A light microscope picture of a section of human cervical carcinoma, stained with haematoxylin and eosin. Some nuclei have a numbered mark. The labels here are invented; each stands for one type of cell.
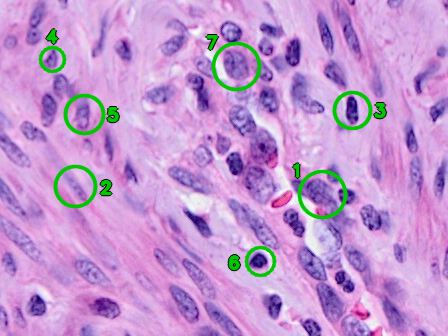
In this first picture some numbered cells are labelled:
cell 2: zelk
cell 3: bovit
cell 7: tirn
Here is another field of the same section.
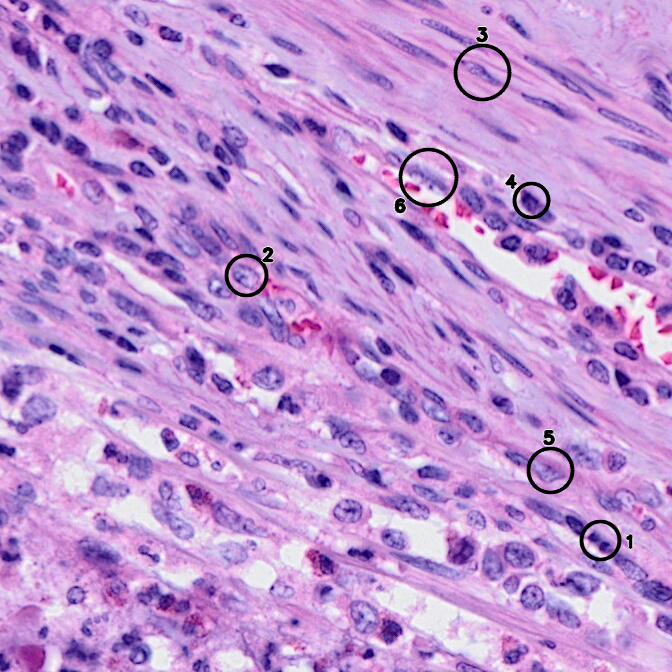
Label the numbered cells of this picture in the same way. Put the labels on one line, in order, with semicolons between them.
bovit; tirn; zelk; bovit; tirn; tirn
